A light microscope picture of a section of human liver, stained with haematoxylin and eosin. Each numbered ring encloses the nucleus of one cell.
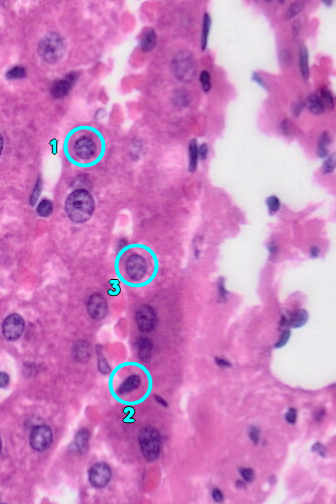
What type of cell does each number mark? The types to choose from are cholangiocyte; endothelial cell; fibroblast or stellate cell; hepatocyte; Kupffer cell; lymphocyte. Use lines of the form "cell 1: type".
cell 1: hepatocyte
cell 2: fibroblast or stellate cell
cell 3: hepatocyte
